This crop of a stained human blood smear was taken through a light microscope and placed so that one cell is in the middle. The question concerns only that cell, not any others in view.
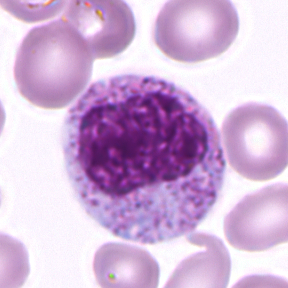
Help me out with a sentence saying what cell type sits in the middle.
The middle cell in this particular crop is a metamyelocyte.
